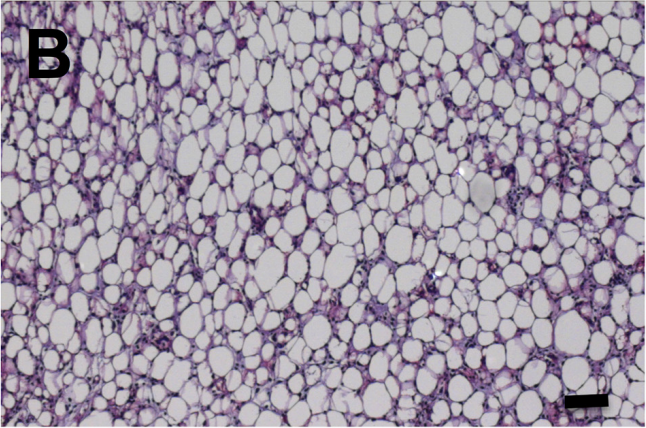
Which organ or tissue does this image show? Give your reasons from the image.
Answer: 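Closely packed clear vacuoles of varying size fill the field. Thin pink septa with small dark nuclei lie between the vacuoles. So: fat pads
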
